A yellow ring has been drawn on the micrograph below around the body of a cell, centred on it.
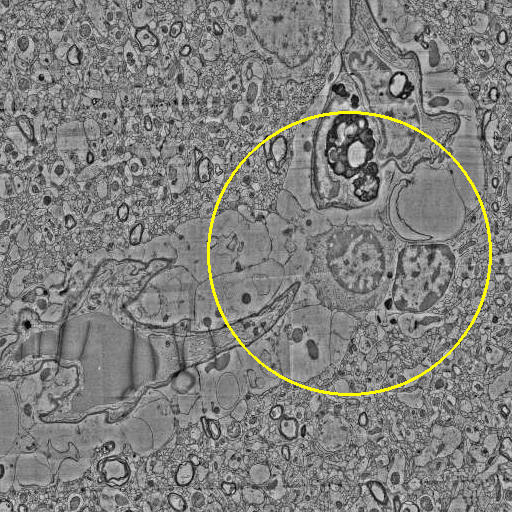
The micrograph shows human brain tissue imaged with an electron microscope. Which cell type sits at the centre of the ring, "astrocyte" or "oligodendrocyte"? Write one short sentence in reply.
The cell sitting at the centre of the ring is an oligodendrocyte.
